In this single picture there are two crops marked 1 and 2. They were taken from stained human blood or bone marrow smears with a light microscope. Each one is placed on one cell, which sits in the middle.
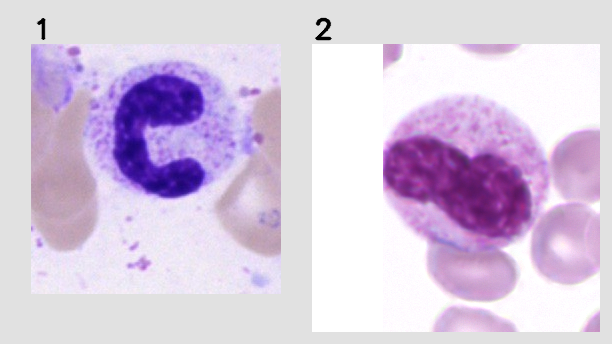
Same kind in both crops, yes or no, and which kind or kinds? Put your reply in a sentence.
Yes, both crops show band neutrophils, and the two match.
